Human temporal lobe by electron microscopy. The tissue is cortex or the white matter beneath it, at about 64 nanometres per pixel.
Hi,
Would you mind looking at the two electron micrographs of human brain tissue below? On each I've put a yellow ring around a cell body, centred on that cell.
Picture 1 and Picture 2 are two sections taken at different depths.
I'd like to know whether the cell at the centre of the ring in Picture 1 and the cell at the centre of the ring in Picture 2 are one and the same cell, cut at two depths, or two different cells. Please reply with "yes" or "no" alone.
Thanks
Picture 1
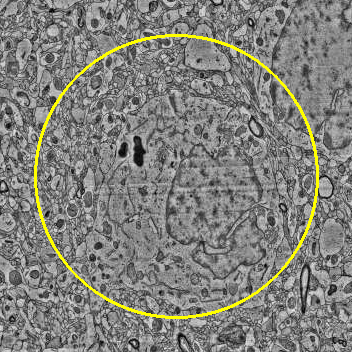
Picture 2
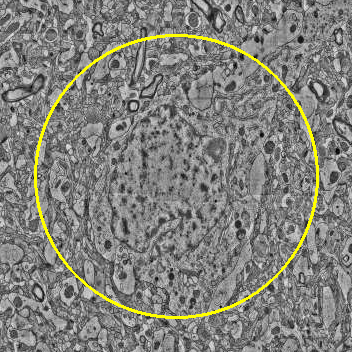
no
